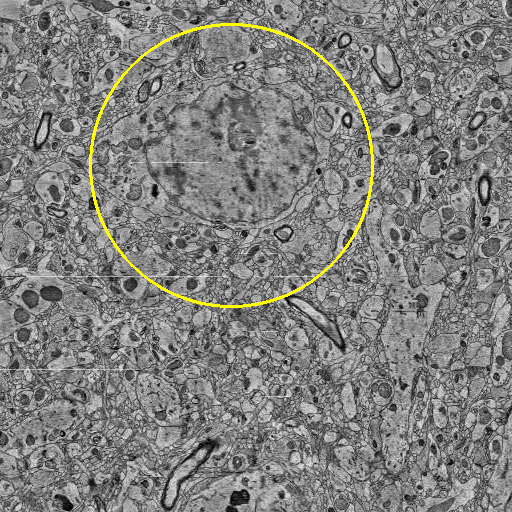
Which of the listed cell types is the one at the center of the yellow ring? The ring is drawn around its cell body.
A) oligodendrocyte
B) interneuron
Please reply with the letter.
B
